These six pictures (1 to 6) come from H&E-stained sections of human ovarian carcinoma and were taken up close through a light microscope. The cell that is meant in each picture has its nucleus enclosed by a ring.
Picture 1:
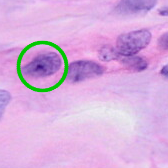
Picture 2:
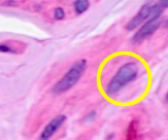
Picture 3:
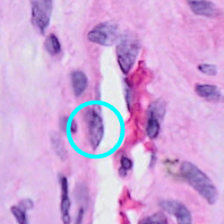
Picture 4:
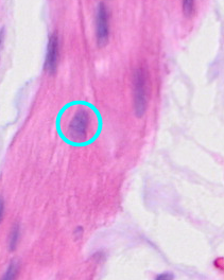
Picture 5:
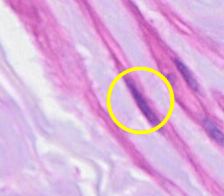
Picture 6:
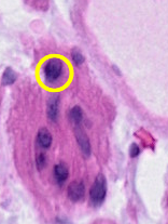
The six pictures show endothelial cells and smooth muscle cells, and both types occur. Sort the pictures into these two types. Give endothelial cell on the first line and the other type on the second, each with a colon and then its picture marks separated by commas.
endothelial cell: 1, 3
smooth muscle cell: 2, 4, 5, 6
